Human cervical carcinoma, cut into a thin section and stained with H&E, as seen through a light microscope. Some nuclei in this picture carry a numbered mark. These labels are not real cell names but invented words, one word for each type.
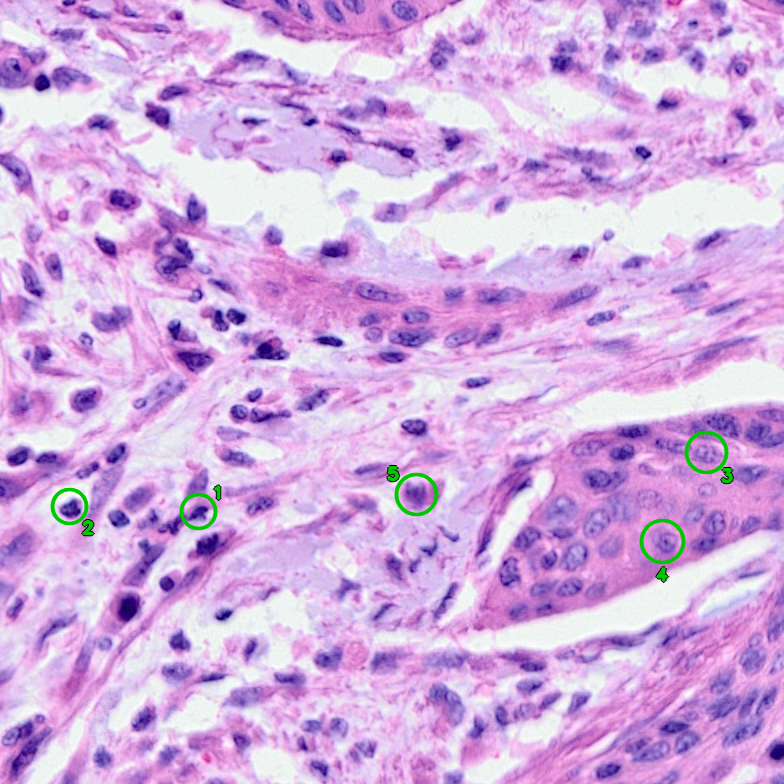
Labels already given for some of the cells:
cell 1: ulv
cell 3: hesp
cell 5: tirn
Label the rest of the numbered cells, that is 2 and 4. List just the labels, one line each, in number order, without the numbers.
ulv
hesp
